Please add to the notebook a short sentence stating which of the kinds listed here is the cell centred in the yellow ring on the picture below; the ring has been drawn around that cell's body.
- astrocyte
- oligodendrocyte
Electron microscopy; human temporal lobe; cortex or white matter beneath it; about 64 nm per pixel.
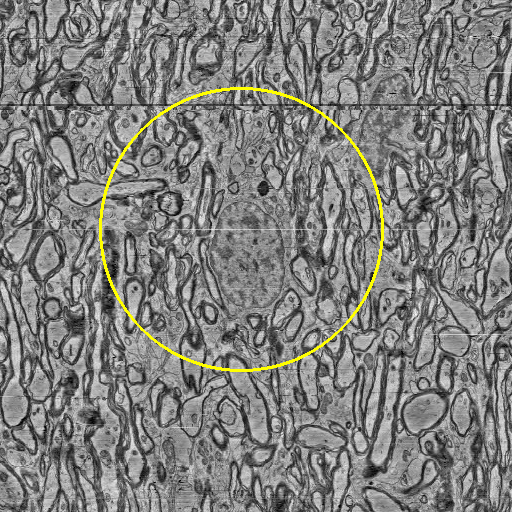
The cell centred in the yellow ring is an oligodendrocyte.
